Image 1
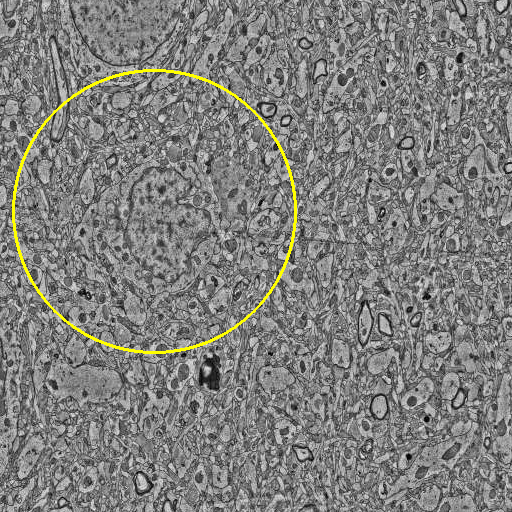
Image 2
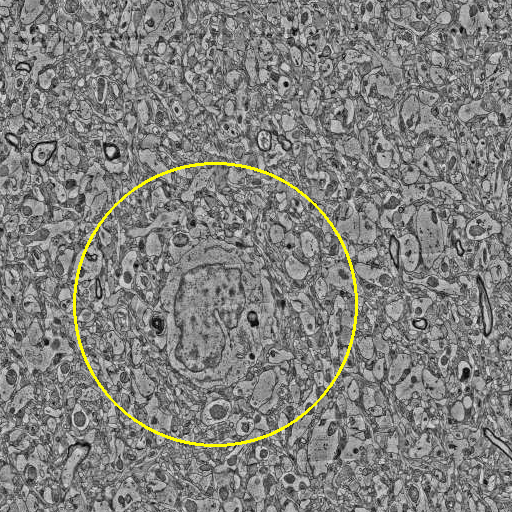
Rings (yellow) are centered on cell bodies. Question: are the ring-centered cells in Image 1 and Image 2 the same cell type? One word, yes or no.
yes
